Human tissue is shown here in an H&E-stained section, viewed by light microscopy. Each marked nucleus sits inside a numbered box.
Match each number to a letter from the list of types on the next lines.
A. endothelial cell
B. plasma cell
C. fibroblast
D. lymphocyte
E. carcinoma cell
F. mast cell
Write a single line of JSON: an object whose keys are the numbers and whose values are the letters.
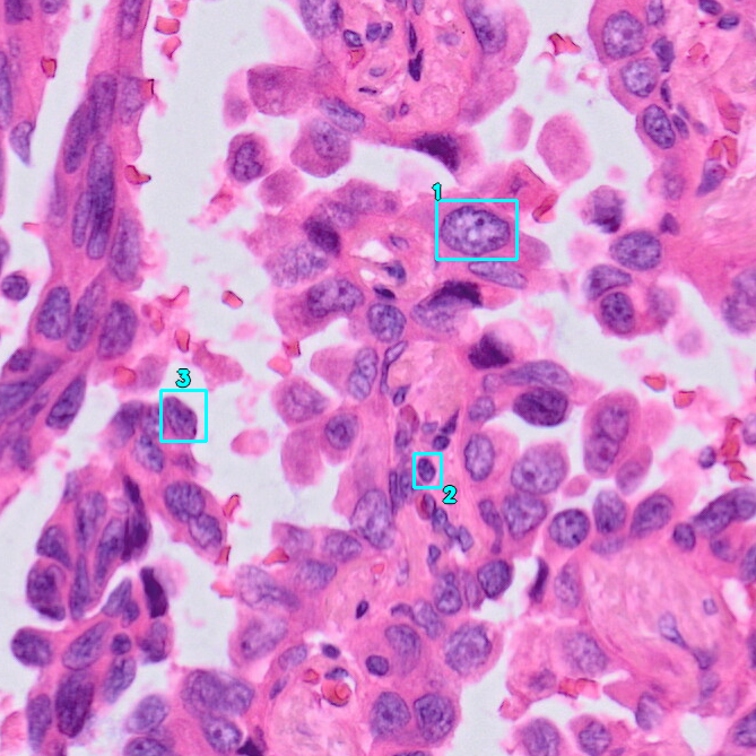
{"1": "E", "2": "D", "3": "E"}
